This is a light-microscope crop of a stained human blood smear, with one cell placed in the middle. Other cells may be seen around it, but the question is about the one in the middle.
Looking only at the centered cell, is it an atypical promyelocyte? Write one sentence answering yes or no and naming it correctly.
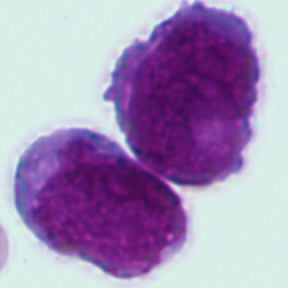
Yes, in this crop the cell in the middle is an atypical promyelocyte.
